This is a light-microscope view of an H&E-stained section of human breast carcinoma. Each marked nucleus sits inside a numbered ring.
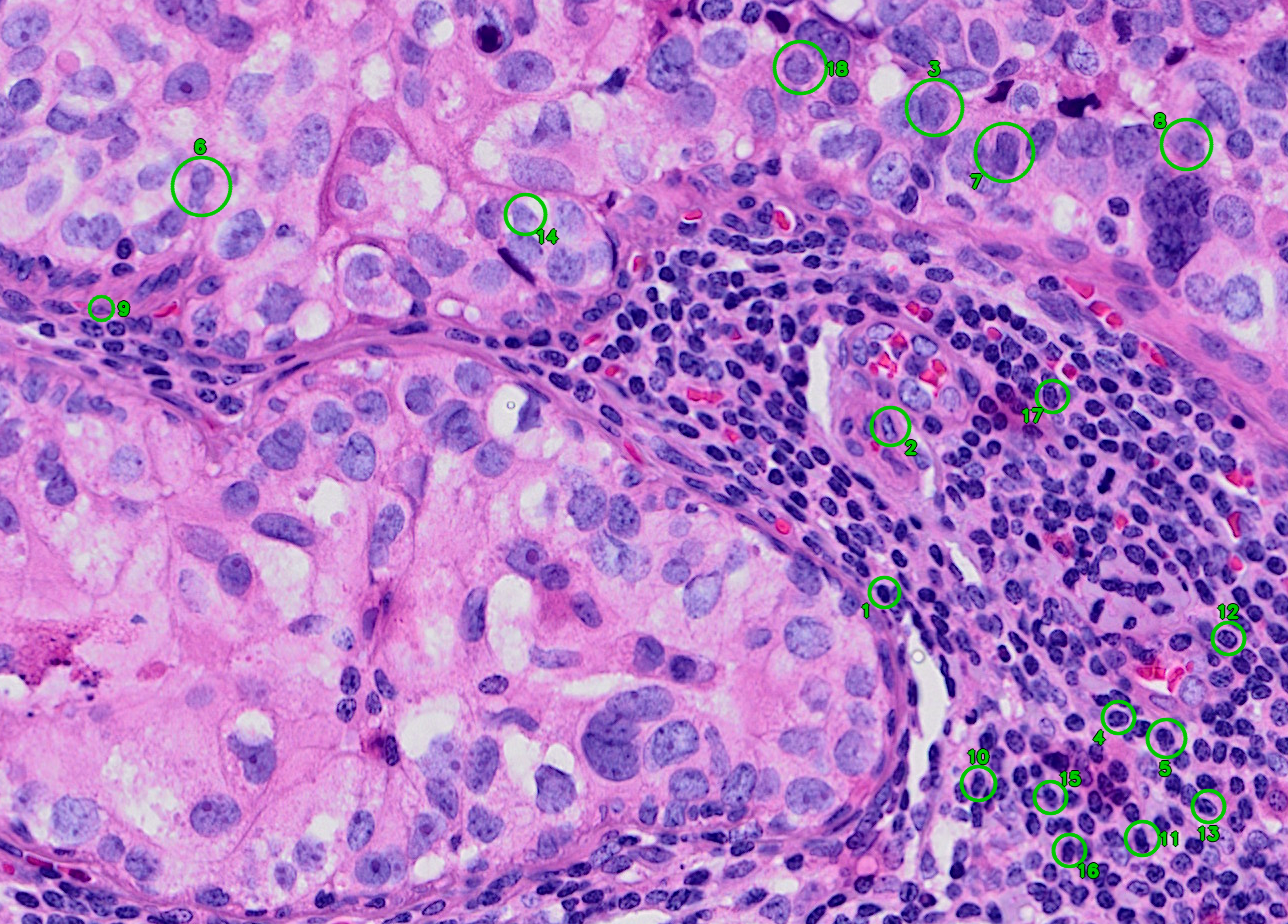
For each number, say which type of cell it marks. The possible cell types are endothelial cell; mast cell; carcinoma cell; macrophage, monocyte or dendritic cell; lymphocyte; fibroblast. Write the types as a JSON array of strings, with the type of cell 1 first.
["lymphocyte", "endothelial cell", "carcinoma cell", "lymphocyte", "lymphocyte", "carcinoma cell", "carcinoma cell", "carcinoma cell", "endothelial cell", "lymphocyte", "lymphocyte", "lymphocyte", "lymphocyte", "carcinoma cell", "lymphocyte", "lymphocyte", "lymphocyte", "carcinoma cell"]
